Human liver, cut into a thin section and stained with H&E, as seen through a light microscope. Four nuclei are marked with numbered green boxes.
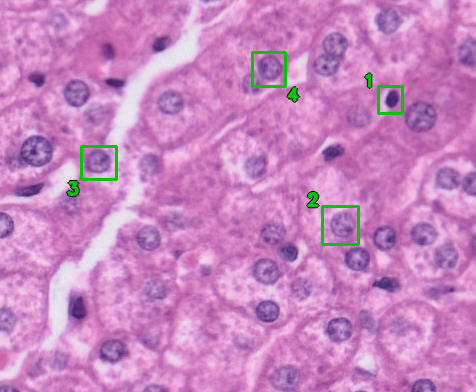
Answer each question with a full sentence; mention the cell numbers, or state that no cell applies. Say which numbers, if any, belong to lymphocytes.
Cell 1 is a lymphocyte, while all remaining marked cells are of other types.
